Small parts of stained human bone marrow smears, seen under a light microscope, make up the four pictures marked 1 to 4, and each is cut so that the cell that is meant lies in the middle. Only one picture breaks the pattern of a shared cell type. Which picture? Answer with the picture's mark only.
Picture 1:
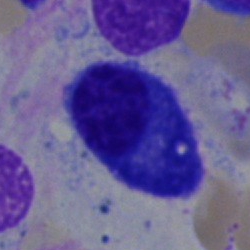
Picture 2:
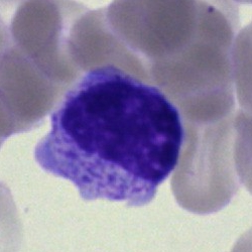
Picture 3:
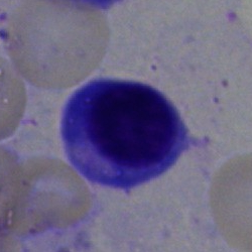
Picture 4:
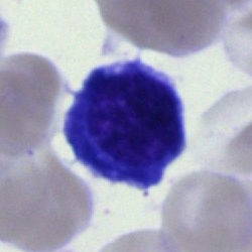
2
